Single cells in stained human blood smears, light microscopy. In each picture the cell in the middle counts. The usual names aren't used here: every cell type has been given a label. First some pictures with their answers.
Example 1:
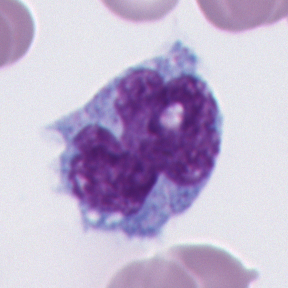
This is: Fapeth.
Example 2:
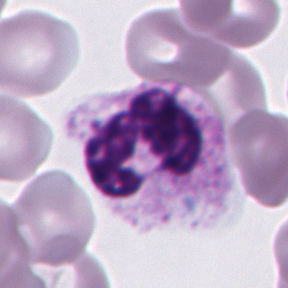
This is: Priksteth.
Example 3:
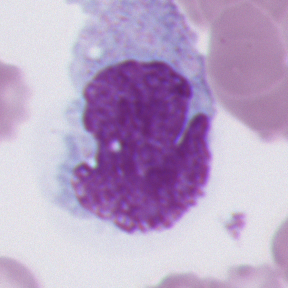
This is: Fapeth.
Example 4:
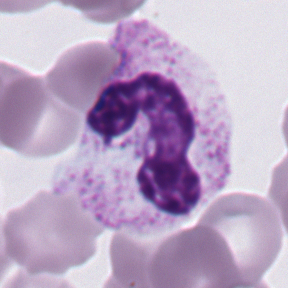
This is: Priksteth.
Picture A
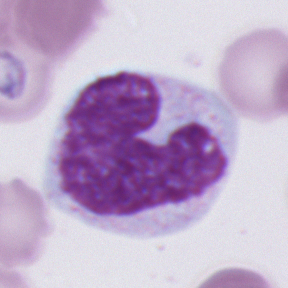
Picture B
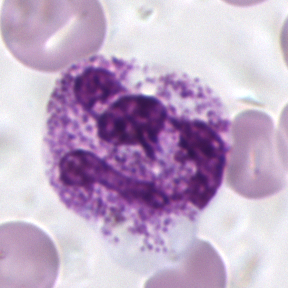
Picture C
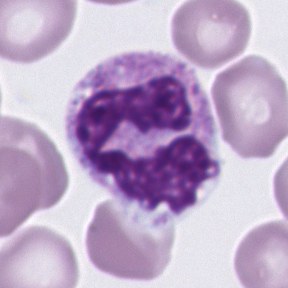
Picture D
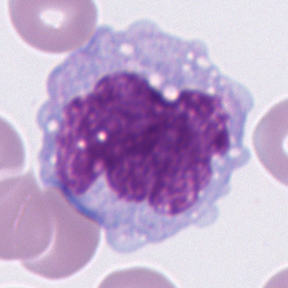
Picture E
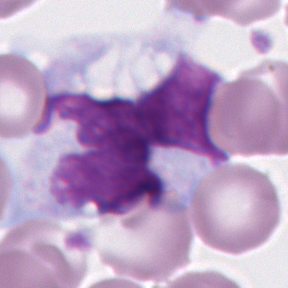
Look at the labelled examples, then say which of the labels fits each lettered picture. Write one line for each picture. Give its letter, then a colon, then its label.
A: Fapeth.
B: Priksteth.
C: Priksteth.
D: Fapeth.
E: Fapeth.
